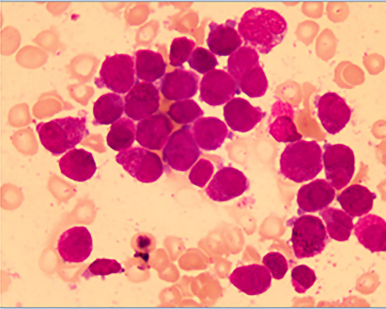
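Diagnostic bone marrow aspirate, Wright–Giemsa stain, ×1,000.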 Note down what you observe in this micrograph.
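A tight cluster of large cells with round to irregular nuclei sits among many smaller pale pink red blood cells. Their cytoplasm is deep purple and thickly strewn with coarse granules, which in many cells spill over the nucleus and blur its outline.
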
